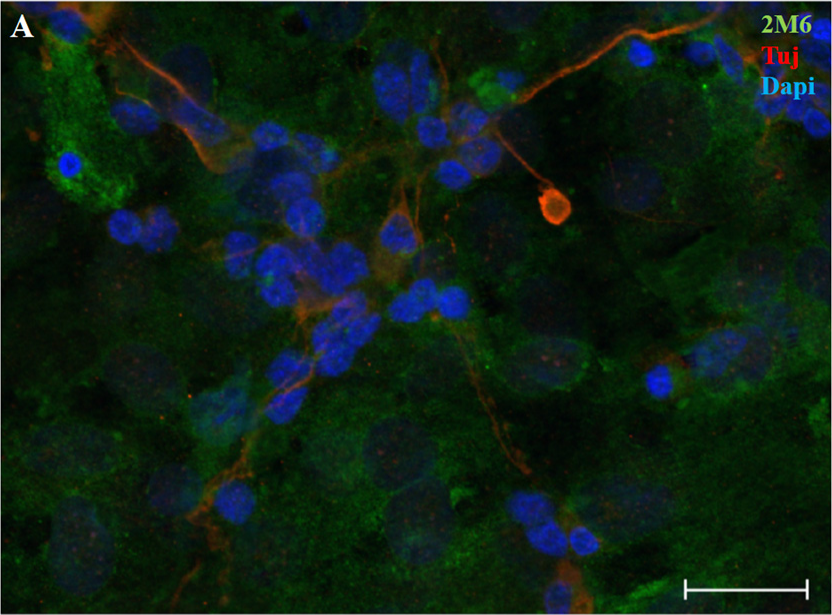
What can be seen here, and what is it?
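The glial cells are broad and flat, with diffuse green cytoplasm that fills most of the field. Each has a large, pale oval nucleus. Small nerve cells lie on top of this layer; they are labeled red and have compact, brightly blue nuclei that often sit in clusters. From their small, rounded cell bodies, long, thin red processes branch and run across the glial sheet.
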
